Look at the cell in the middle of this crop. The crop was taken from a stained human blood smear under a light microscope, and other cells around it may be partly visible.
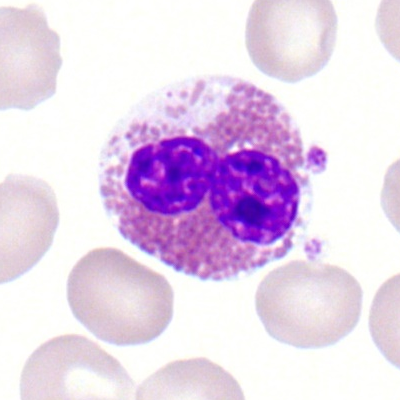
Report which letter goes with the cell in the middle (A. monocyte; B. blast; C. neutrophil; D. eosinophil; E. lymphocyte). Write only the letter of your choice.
D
